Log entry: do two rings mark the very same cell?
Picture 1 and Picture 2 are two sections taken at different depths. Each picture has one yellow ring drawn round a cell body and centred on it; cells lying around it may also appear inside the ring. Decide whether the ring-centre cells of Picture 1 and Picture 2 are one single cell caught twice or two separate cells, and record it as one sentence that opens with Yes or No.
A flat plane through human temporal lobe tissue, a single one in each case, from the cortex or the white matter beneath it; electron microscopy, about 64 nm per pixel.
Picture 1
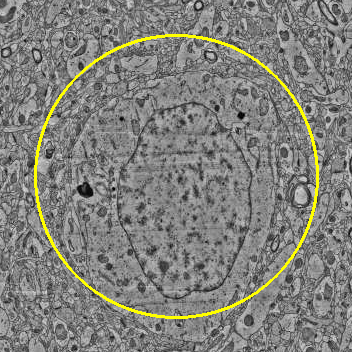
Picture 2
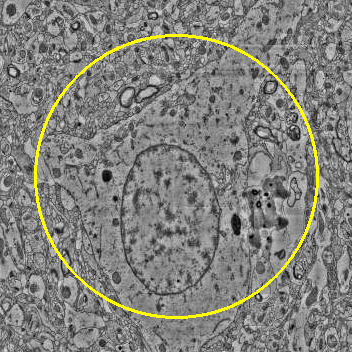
No, the rings mark two cells rather than a single cell.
